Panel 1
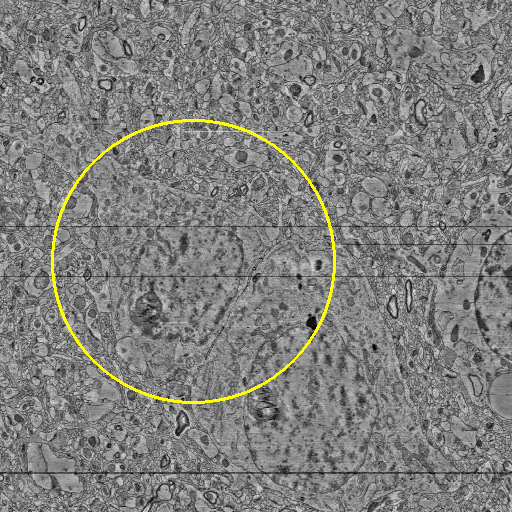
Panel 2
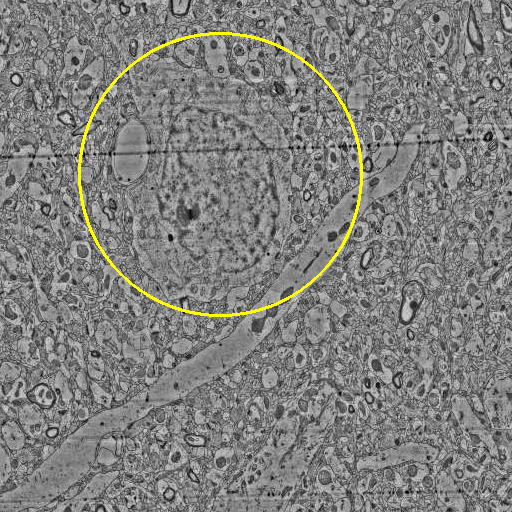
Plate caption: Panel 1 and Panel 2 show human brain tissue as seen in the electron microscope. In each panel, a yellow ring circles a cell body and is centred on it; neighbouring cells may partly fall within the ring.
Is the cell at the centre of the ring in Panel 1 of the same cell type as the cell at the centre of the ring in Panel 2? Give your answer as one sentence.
Yes, the two cells are of the same type.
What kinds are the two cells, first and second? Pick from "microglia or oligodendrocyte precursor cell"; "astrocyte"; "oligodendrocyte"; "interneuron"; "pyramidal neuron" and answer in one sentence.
Both pictures show an interneuron at the centre of the ring.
